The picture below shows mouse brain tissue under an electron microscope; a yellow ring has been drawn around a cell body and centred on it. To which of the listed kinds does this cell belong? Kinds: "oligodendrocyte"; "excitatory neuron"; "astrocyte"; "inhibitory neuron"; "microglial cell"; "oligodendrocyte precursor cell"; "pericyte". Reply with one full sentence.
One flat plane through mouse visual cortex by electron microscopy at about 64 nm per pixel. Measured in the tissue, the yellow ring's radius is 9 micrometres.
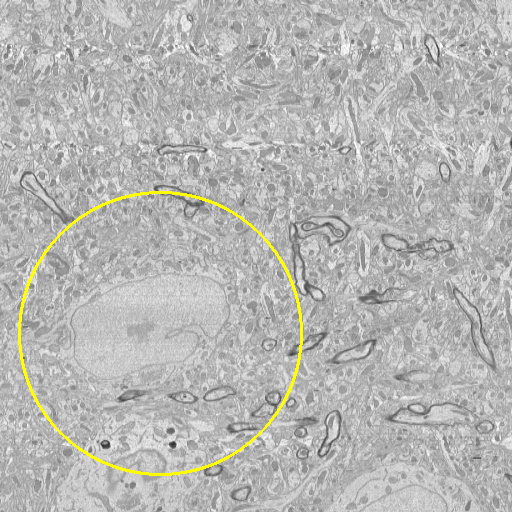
It is an inhibitory neuron that the yellow ring in the picture is centred on.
